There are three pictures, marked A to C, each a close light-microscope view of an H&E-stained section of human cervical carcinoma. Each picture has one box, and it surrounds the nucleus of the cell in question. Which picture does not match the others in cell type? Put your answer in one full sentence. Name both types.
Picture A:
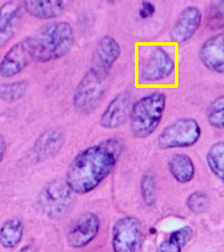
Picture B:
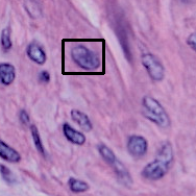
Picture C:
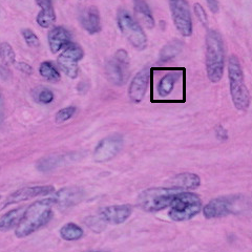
Picture A is the odd one out: it shows a squamous carcinoma cell, while the others show smooth muscle cells.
